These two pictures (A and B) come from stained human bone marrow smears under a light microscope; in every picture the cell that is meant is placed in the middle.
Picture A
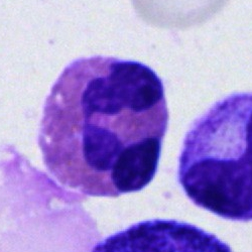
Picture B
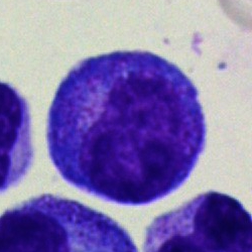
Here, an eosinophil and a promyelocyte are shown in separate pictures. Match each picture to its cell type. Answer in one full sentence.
The cell in picture A is an eosinophil, and the one in picture B is a promyelocyte.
